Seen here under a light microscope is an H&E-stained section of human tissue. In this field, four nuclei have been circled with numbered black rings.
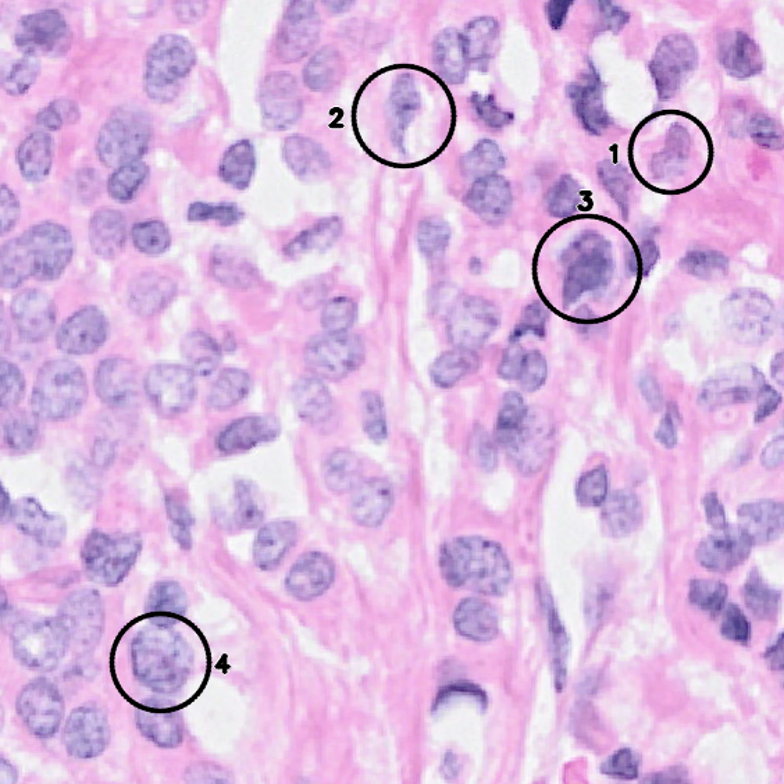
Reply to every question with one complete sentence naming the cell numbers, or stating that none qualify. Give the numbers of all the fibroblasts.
Cell 2 stands alone among the numbered cells as a fibroblast.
